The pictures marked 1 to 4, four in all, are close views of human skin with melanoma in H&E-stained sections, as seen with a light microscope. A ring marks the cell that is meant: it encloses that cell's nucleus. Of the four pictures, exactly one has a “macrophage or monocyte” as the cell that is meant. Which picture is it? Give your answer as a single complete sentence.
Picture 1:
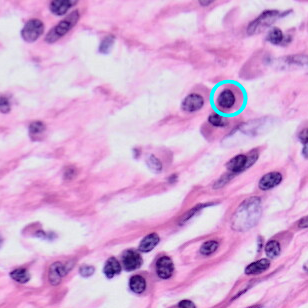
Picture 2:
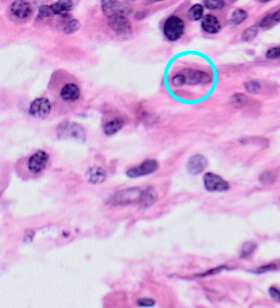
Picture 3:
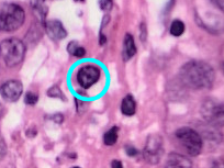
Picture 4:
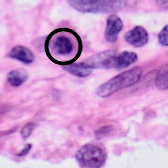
It is picture 2 that shows the “macrophage or monocyte”.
